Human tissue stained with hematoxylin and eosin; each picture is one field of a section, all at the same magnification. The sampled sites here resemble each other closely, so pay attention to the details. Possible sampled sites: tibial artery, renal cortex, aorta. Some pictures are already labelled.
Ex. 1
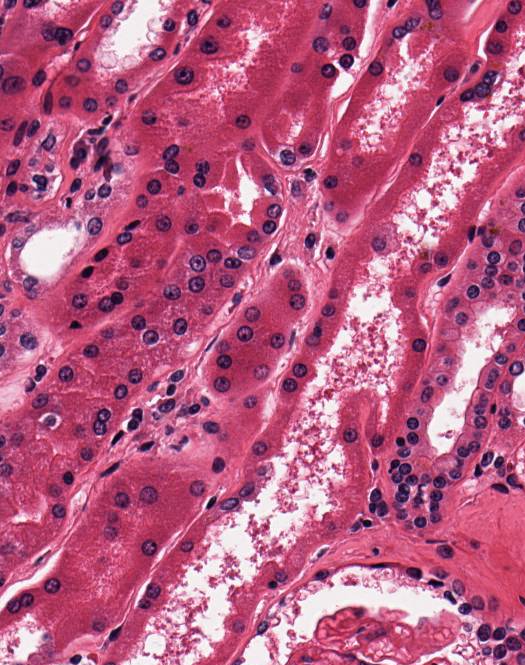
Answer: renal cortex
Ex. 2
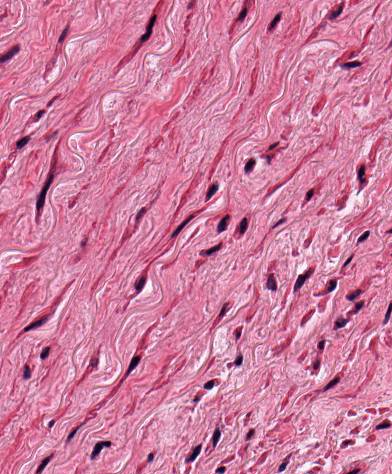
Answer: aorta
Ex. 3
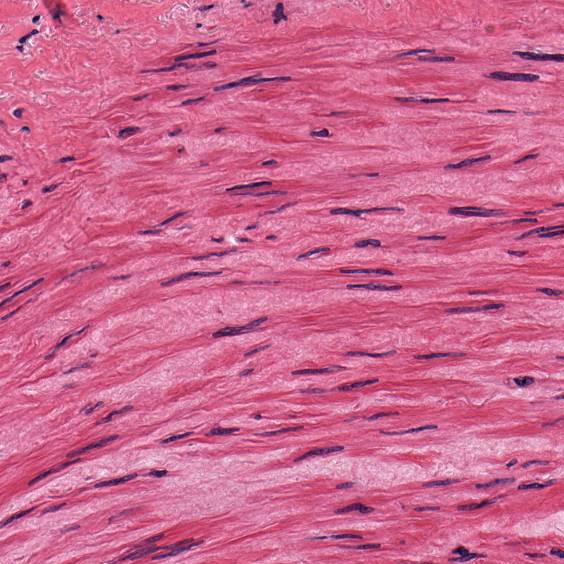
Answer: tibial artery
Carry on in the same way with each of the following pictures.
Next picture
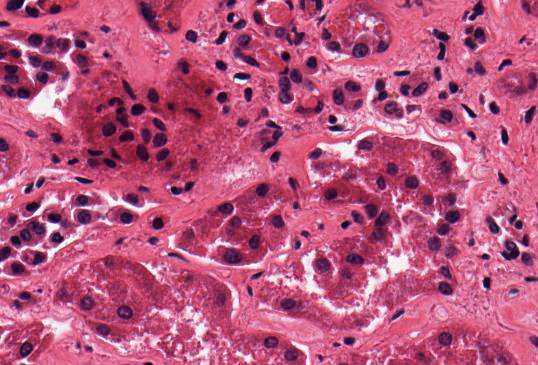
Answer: renal cortex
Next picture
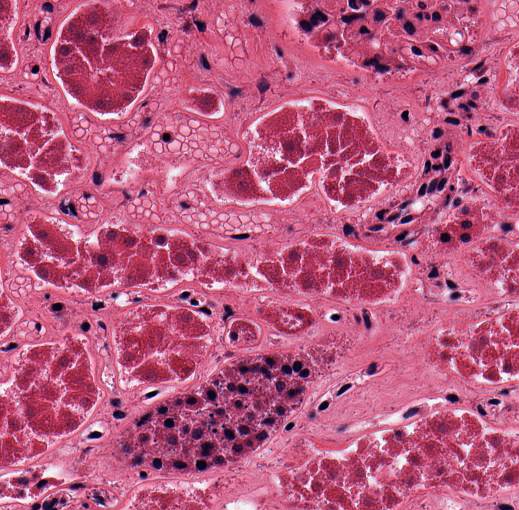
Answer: renal cortex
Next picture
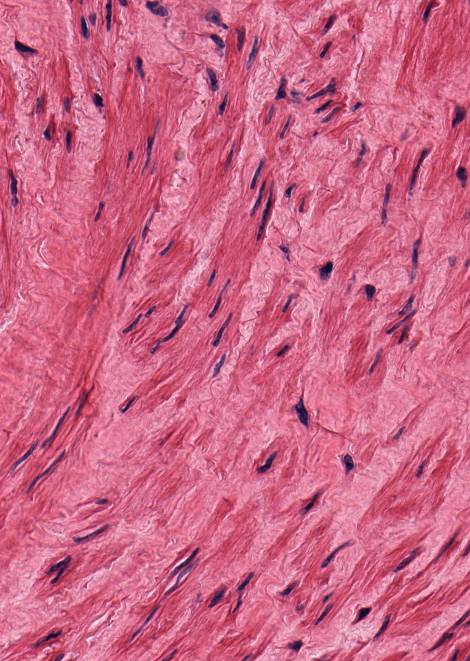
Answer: tibial artery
